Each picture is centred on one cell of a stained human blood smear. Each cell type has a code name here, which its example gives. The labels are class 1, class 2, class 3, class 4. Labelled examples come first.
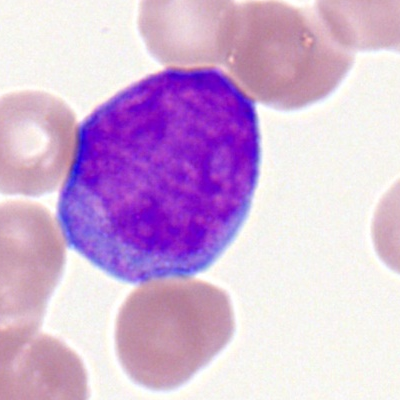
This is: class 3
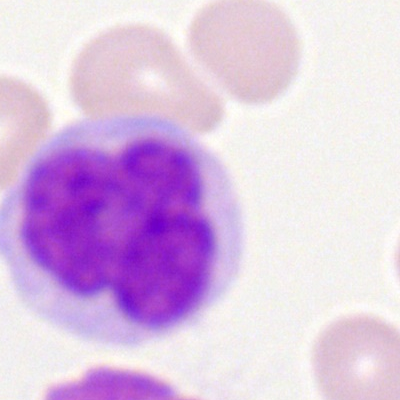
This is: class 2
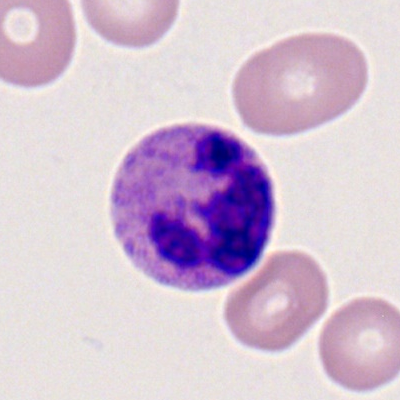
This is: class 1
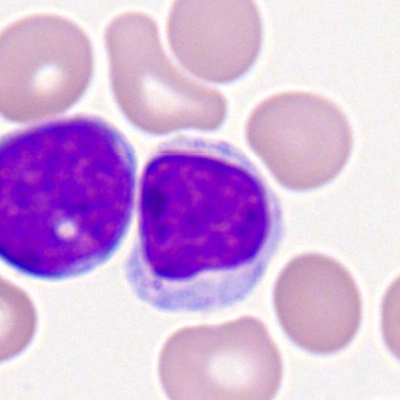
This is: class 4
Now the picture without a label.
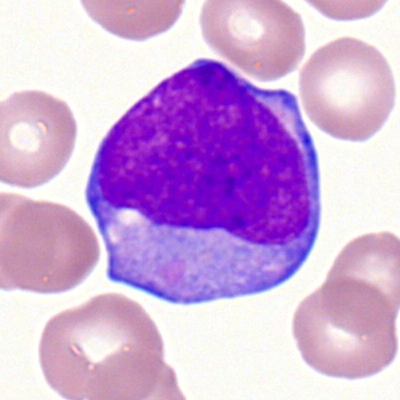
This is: class 3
